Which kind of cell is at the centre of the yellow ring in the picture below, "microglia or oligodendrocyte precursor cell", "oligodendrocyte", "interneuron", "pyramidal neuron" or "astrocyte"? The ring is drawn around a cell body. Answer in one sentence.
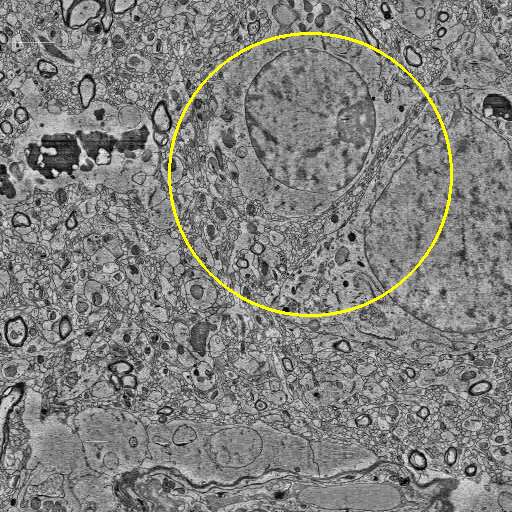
The ring's central cell is an astrocyte.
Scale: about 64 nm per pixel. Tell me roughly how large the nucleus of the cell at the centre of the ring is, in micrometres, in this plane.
The nucleus works out at approximately 10 by 8 micrometres in this plane.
